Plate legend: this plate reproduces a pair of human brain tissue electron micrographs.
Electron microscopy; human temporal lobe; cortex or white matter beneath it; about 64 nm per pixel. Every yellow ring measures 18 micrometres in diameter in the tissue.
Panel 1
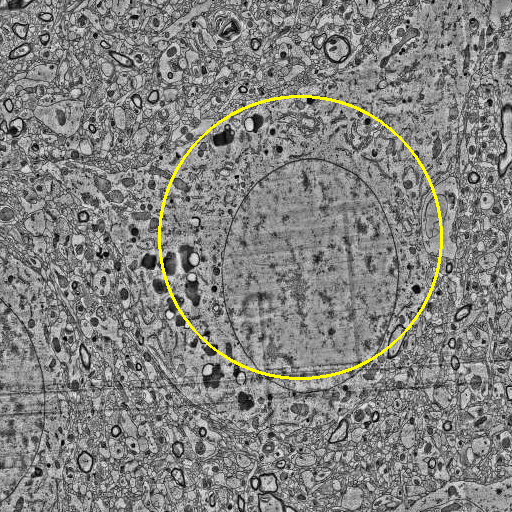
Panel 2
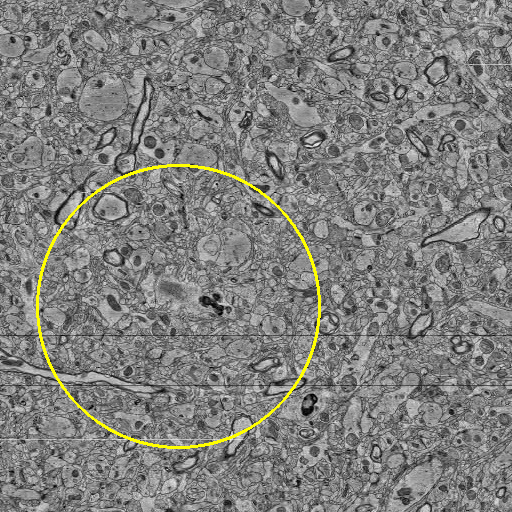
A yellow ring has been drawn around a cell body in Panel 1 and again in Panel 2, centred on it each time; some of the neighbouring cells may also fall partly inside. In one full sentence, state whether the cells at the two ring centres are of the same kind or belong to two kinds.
The ring-centred cells of Panel 1 and Panel 2 belong to two kinds.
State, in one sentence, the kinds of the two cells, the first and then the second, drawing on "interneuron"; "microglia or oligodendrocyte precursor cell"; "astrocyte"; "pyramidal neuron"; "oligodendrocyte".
The ring in the second picture is centred on a microglial cell or oligodendrocyte precursor cell, the ring in the first on a pyramidal neuron.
